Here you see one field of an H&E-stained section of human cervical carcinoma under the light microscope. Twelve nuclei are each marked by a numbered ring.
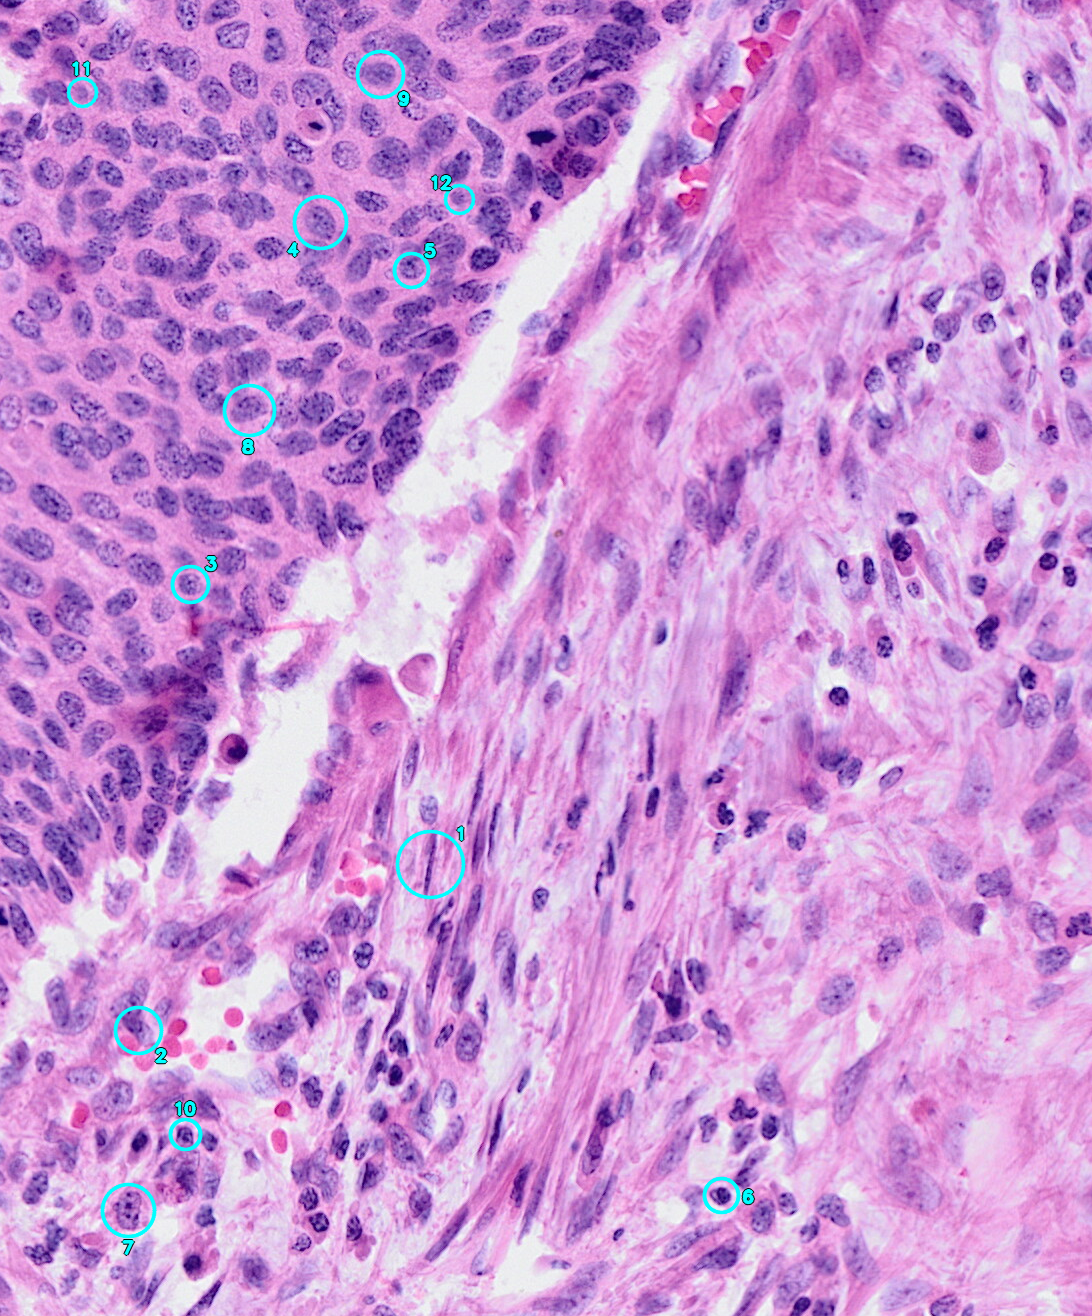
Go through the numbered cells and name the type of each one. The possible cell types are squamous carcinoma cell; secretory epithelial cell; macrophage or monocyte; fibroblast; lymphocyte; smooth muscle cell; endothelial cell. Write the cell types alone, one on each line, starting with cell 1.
fibroblast
endothelial cell
squamous carcinoma cell
squamous carcinoma cell
squamous carcinoma cell
lymphocyte
macrophage or monocyte
squamous carcinoma cell
squamous carcinoma cell
lymphocyte
squamous carcinoma cell
squamous carcinoma cell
